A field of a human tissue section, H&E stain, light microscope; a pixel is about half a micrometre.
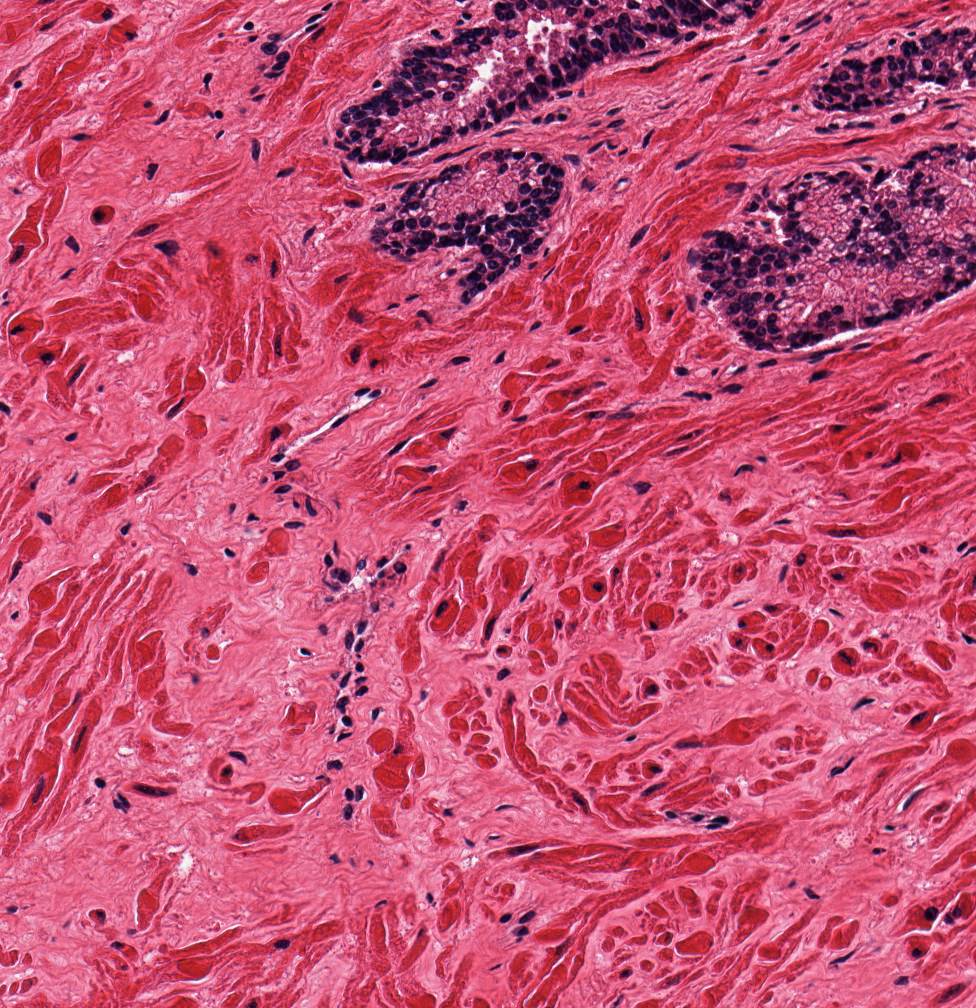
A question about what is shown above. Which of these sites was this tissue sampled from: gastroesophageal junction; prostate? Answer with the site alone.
prostate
